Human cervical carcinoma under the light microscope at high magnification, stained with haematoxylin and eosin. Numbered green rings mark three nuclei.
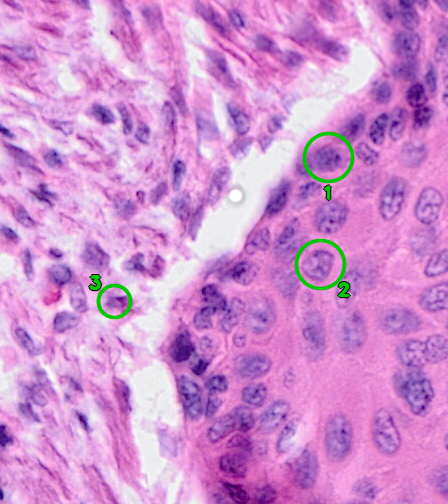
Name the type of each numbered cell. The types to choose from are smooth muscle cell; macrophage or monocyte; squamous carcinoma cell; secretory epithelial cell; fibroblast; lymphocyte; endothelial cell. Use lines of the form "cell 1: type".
cell 1: squamous carcinoma cell
cell 2: squamous carcinoma cell
cell 3: fibroblast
